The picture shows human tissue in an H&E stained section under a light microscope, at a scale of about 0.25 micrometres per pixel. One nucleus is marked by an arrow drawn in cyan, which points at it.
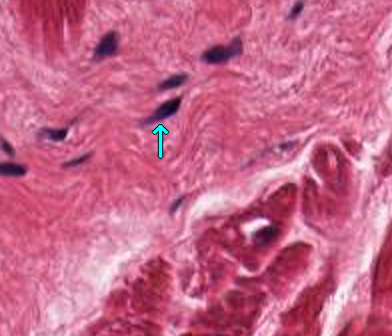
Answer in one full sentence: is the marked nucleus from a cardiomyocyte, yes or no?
No, the marked nucleus is carried by a supporting cell rather than by a cardiomyocyte.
